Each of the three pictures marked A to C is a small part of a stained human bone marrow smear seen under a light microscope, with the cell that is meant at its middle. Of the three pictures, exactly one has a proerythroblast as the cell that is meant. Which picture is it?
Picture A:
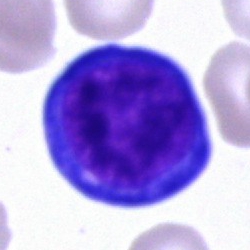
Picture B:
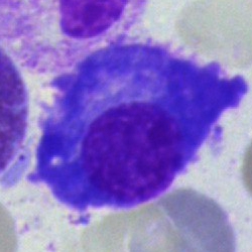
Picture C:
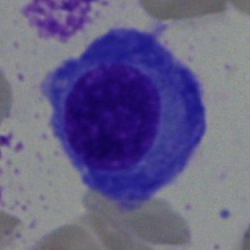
A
